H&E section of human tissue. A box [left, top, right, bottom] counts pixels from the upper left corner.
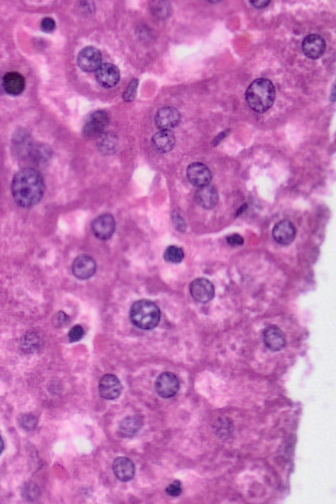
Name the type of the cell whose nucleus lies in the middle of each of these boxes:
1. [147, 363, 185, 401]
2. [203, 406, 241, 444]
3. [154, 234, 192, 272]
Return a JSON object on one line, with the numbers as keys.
{"1": "hepatocyte", "2": "hepatocyte", "3": "lymphocyte"}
